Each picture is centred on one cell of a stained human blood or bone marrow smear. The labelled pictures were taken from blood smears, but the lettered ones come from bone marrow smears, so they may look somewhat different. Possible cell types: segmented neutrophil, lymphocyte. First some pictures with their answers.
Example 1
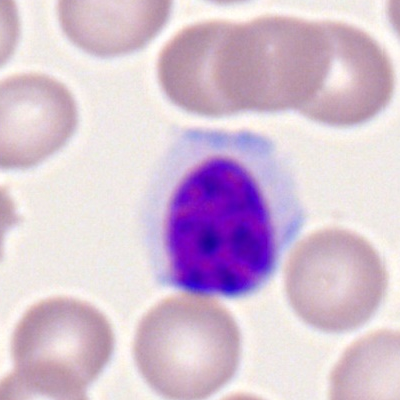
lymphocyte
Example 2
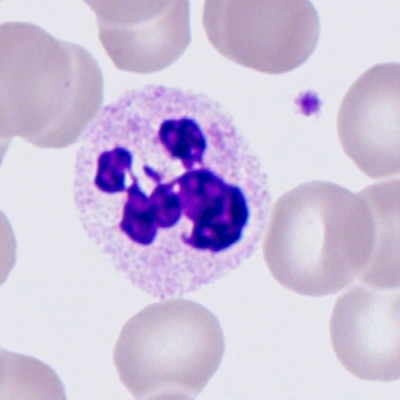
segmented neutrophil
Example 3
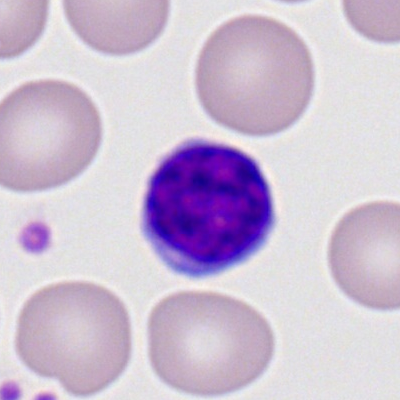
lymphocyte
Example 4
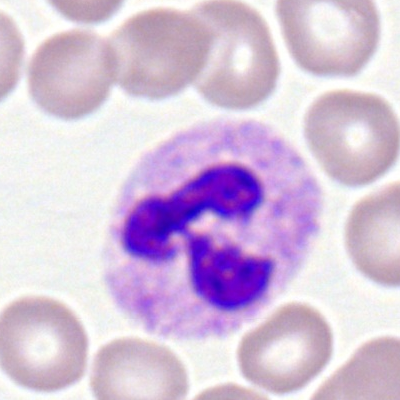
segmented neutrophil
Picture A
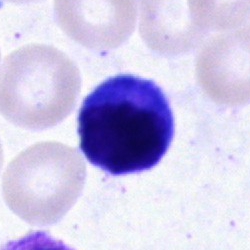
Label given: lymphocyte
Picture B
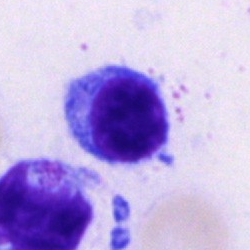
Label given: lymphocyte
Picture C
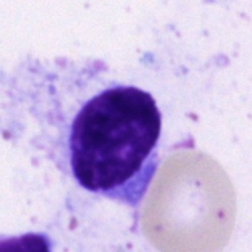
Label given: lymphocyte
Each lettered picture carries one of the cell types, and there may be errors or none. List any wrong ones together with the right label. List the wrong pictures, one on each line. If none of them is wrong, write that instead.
Nothing to fix; every label fits.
